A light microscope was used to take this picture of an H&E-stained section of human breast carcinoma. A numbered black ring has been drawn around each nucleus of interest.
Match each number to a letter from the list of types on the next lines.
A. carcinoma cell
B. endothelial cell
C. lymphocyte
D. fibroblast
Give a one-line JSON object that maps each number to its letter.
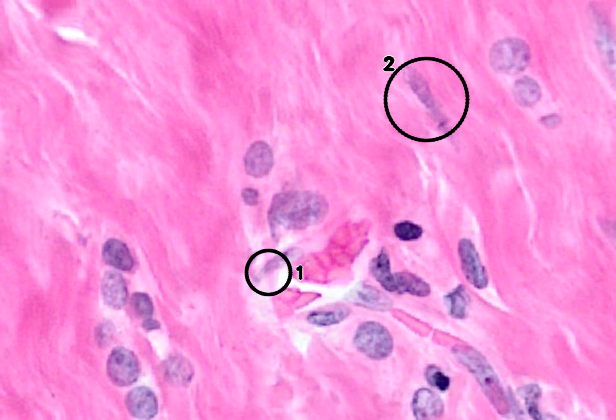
{"1": "B", "2": "D"}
